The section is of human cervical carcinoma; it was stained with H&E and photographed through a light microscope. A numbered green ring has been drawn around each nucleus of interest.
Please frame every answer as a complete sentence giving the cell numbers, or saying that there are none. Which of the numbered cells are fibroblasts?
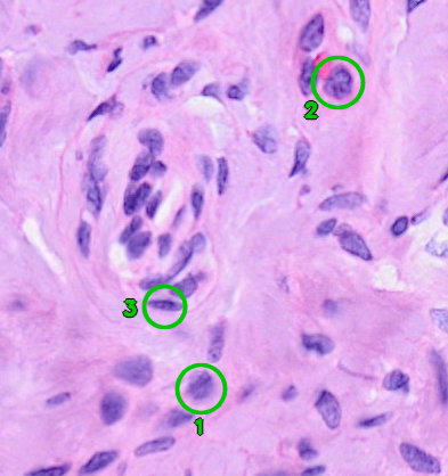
The cells numbered 1 and 3 are identified as fibroblasts.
